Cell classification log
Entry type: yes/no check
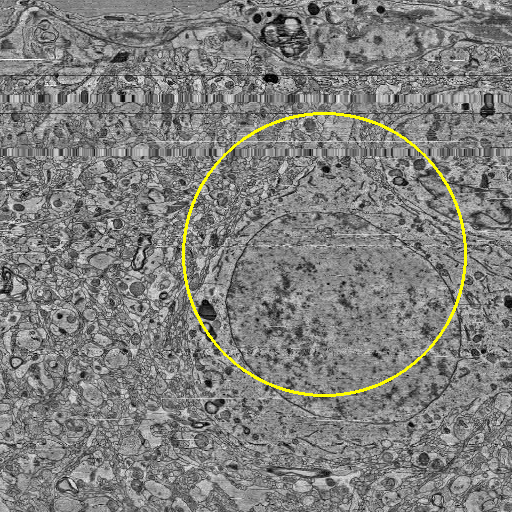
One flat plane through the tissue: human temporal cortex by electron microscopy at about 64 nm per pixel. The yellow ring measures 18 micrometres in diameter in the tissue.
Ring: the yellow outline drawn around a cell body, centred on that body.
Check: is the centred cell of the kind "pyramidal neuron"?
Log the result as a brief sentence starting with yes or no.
Yes, the cell is of that kind.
